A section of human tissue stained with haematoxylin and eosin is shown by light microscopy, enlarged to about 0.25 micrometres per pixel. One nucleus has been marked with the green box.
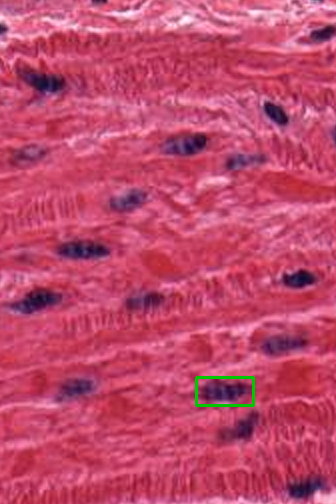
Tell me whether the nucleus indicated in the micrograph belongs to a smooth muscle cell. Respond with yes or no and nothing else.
yes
